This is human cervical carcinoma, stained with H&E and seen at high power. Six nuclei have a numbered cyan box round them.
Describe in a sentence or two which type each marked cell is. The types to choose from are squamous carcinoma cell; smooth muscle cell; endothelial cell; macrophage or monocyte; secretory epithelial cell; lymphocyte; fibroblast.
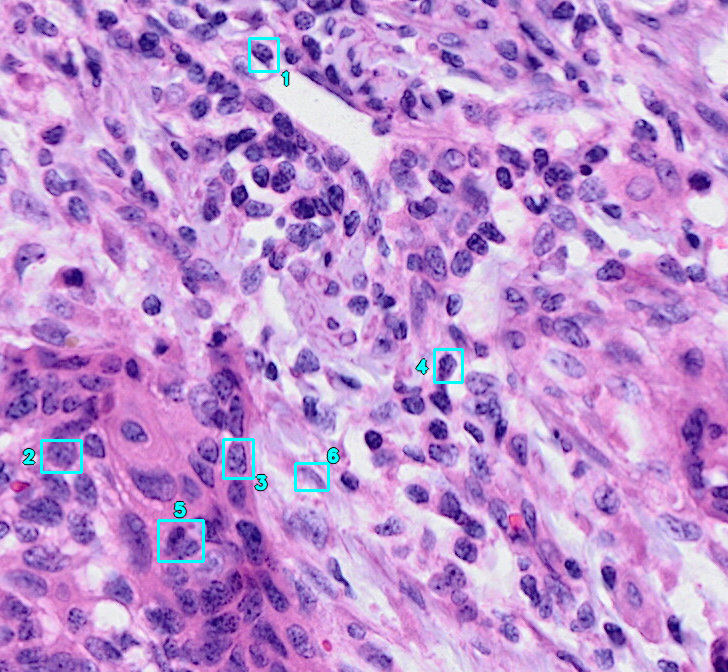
Cell 1 is a lymphocyte, cell 2 is a squamous carcinoma cell, cell 3 is a squamous carcinoma cell, cell 4 is a lymphocyte, cell 5 is a squamous carcinoma cell and cell 6 is a fibroblast.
